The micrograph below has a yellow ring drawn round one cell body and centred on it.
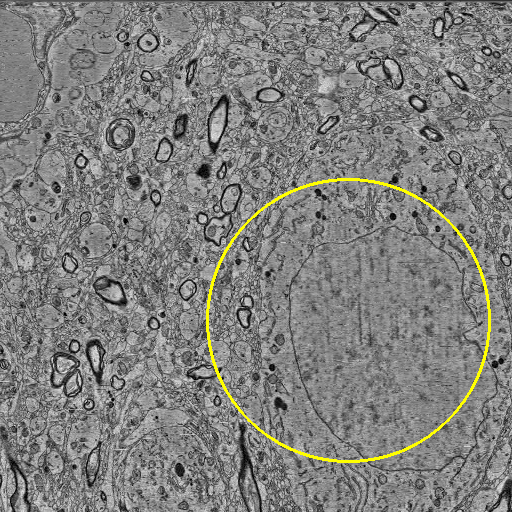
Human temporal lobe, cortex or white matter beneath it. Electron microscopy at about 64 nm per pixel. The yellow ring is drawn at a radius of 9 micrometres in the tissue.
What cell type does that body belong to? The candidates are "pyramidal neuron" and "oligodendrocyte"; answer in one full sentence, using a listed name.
This is a pyramidal neuron, the cell whose body lies at the centre of the ring.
